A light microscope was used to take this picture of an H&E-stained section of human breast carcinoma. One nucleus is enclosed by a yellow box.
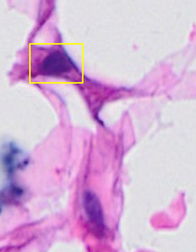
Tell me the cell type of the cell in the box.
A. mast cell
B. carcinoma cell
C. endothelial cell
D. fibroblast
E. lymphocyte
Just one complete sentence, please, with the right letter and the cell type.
Of the options given, C is right: the cell in the box is an endothelial cell.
